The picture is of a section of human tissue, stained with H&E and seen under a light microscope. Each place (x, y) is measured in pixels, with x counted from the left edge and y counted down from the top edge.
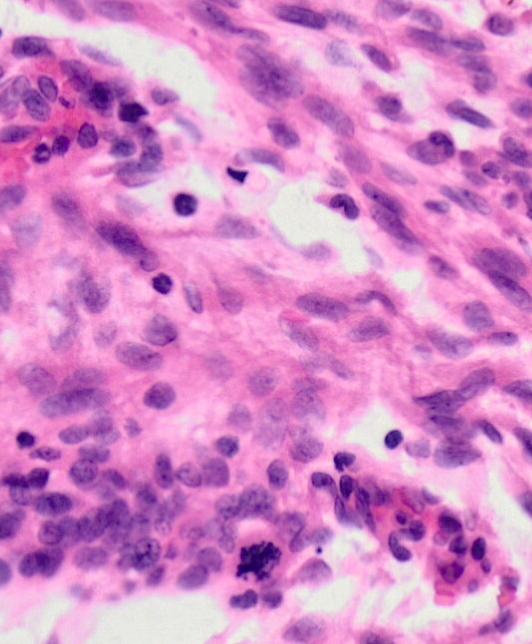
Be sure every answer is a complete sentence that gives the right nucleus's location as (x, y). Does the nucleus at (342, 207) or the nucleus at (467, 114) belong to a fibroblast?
The nucleus found at (467, 114) belongs to a fibroblast.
